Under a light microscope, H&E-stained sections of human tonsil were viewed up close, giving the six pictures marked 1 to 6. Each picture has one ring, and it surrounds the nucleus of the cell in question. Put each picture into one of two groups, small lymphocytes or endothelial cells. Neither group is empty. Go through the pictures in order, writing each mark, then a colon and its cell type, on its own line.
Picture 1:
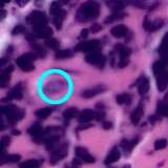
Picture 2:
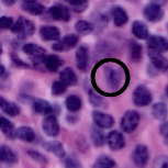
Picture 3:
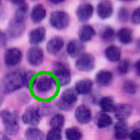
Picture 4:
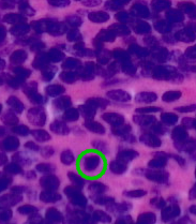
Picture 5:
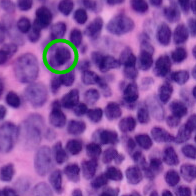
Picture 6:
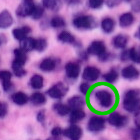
1: endothelial cell
2: endothelial cell
3: small lymphocyte
4: endothelial cell
5: small lymphocyte
6: small lymphocyte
